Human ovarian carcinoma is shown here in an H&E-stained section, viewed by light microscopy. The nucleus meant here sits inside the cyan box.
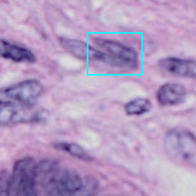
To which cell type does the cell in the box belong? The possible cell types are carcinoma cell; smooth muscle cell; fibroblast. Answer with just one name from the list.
fibroblast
